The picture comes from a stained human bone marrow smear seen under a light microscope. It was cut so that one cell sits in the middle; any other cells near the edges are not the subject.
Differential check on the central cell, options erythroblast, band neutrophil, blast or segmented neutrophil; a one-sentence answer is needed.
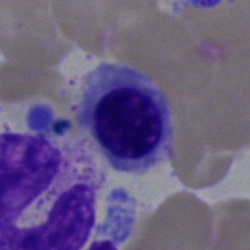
The cell at the heart of this crop is an erythroblast.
